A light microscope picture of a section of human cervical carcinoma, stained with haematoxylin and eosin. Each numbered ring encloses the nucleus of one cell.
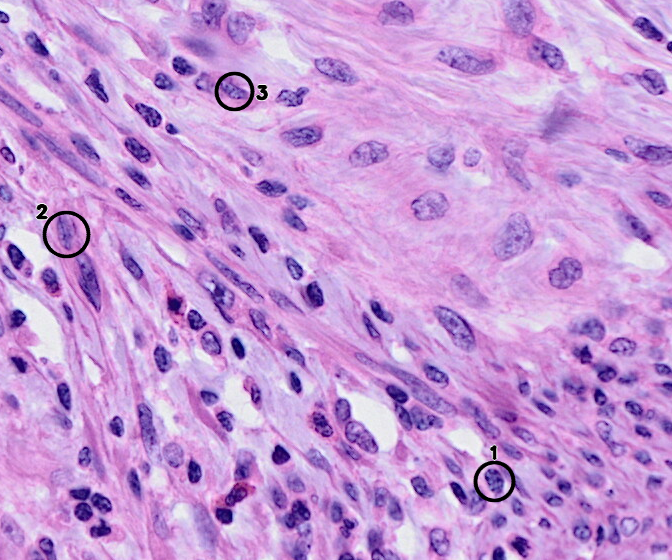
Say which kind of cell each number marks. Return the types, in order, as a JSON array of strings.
["lymphocyte", "endothelial cell", "endothelial cell"]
